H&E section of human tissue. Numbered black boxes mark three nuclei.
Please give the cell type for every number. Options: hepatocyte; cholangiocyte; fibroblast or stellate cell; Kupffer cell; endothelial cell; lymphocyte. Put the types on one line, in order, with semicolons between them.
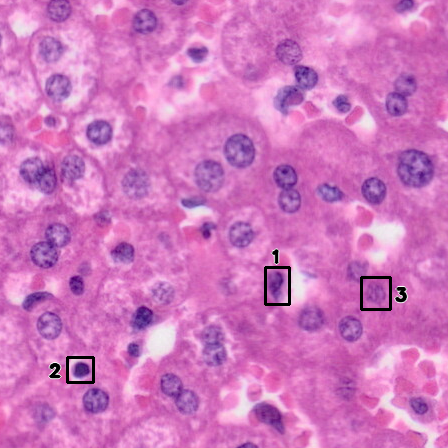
Kupffer cell; lymphocyte; hepatocyte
